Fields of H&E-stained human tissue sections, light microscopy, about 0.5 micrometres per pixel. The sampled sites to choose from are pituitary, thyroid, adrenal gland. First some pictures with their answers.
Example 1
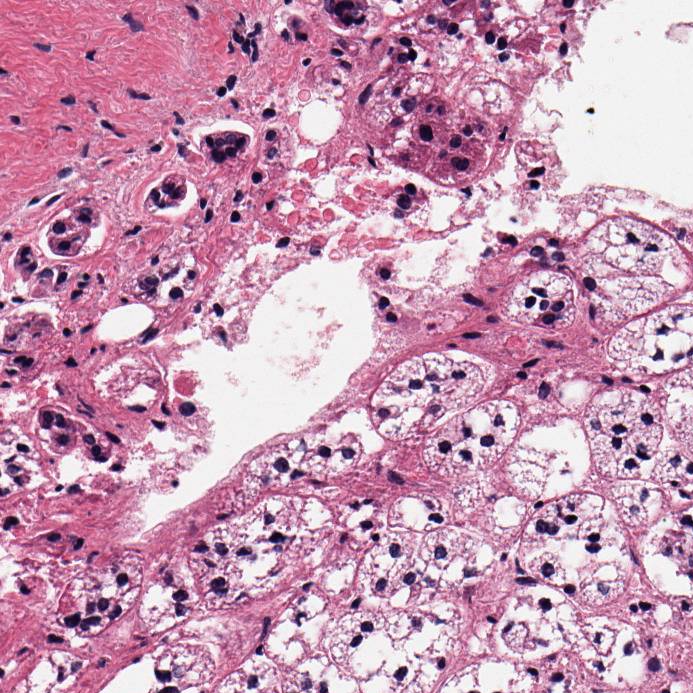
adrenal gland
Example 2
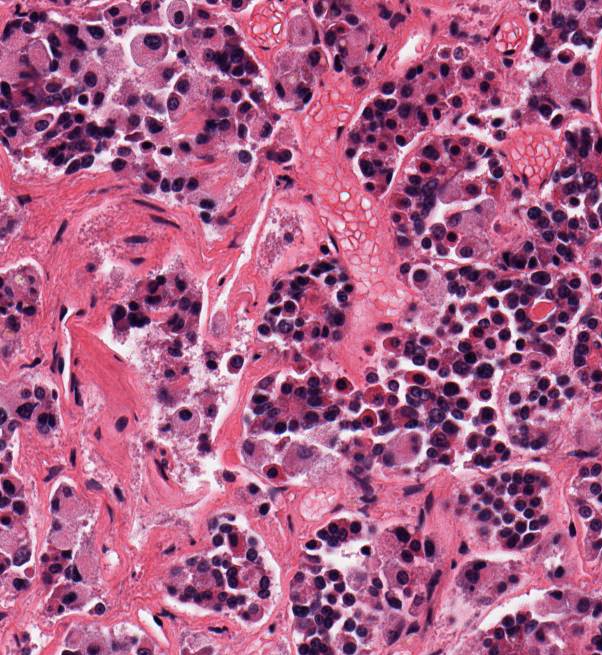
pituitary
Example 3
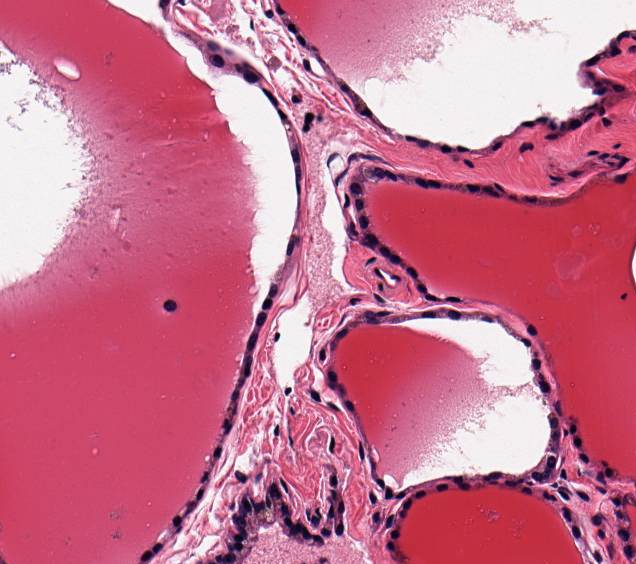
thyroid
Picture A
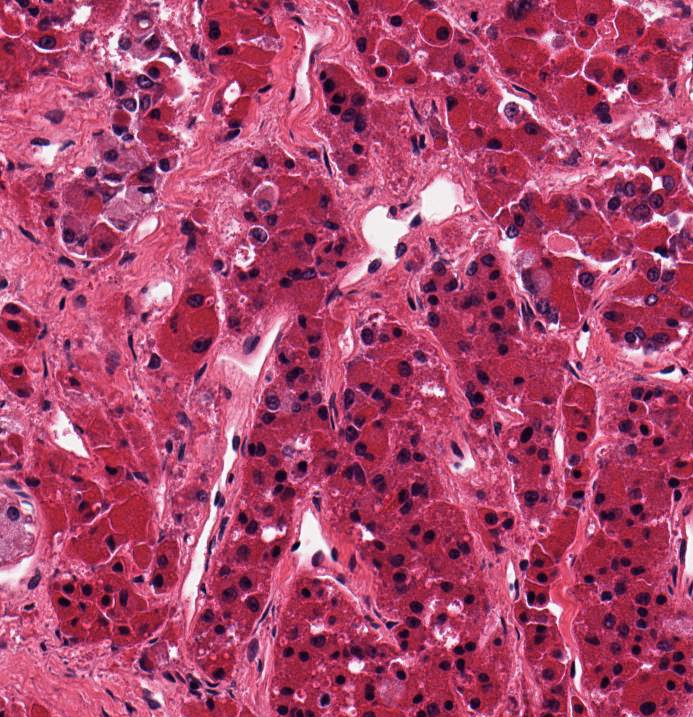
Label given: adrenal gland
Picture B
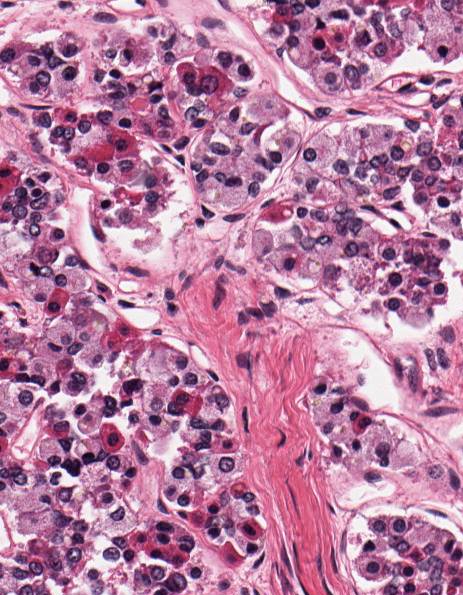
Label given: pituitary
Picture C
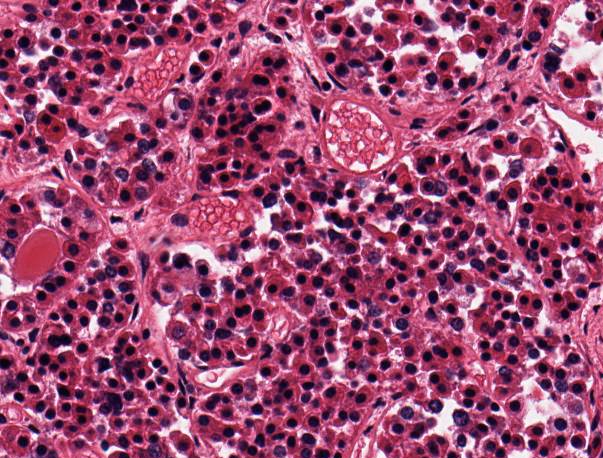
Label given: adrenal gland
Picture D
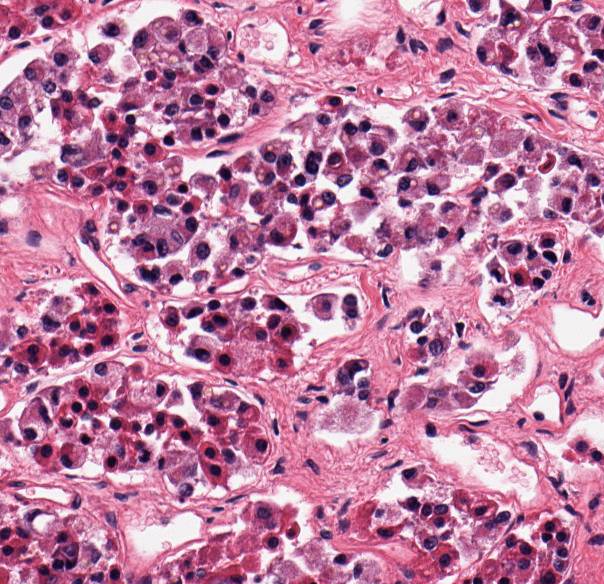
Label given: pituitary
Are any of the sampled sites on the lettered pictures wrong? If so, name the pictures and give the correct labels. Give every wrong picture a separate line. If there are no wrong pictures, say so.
A: change adrenal gland to pituitary
C: change adrenal gland to pituitary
